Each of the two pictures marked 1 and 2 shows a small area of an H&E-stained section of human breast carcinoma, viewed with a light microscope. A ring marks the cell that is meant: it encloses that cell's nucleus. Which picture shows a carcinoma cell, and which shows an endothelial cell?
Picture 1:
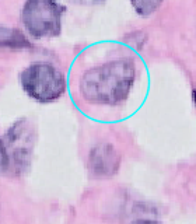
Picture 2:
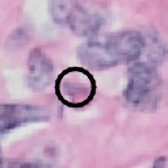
1: carcinoma cell
2: endothelial cell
